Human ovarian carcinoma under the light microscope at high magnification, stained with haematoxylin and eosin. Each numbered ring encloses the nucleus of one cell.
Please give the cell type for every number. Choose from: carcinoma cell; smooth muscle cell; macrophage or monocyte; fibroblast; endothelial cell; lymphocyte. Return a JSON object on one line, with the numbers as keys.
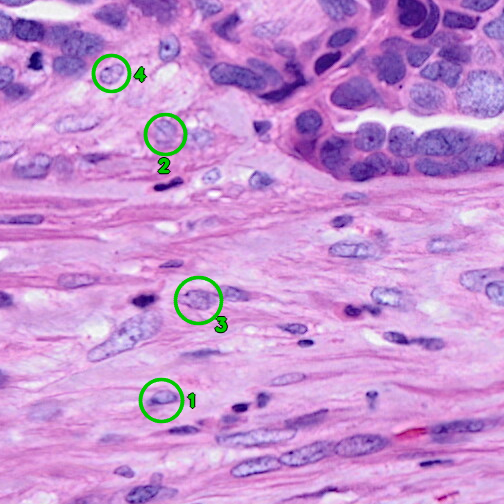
{"1": "fibroblast", "2": "fibroblast", "3": "fibroblast", "4": "macrophage or monocyte"}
